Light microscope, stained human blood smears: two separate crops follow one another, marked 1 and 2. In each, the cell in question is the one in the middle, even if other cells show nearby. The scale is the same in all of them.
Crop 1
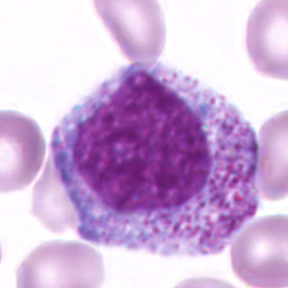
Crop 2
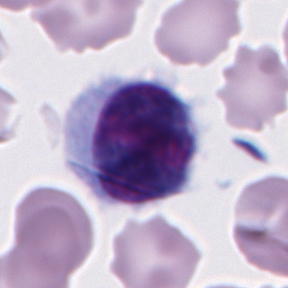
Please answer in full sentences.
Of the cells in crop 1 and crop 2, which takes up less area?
Crop 2 holds the smaller cell, since the cell in crop 1 covers about 2 times as much area.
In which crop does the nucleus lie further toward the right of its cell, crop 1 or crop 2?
It is the nucleus in crop 2 that lies further toward the right of its cell.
